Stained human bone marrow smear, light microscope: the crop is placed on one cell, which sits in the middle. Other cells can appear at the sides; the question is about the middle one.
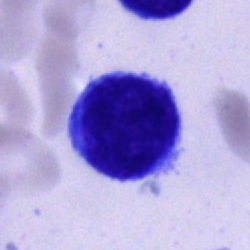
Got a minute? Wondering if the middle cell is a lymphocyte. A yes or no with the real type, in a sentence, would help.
Yes, the cell at the centre of this crop is identified as a lymphocyte.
